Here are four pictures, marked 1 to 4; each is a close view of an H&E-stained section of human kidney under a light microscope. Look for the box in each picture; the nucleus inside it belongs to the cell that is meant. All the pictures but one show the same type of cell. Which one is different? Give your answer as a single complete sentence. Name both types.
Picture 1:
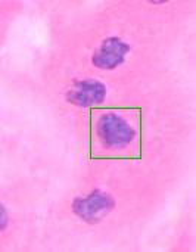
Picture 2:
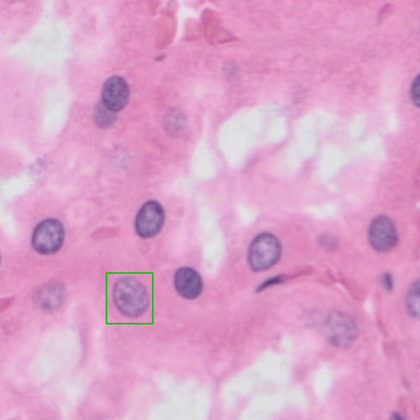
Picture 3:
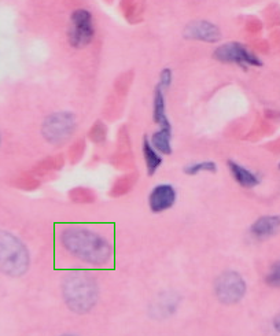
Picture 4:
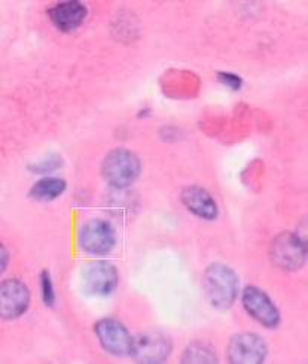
Picture 4 is the odd one out: it shows a collecting duct cell, while the others show proximal tubule cells.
